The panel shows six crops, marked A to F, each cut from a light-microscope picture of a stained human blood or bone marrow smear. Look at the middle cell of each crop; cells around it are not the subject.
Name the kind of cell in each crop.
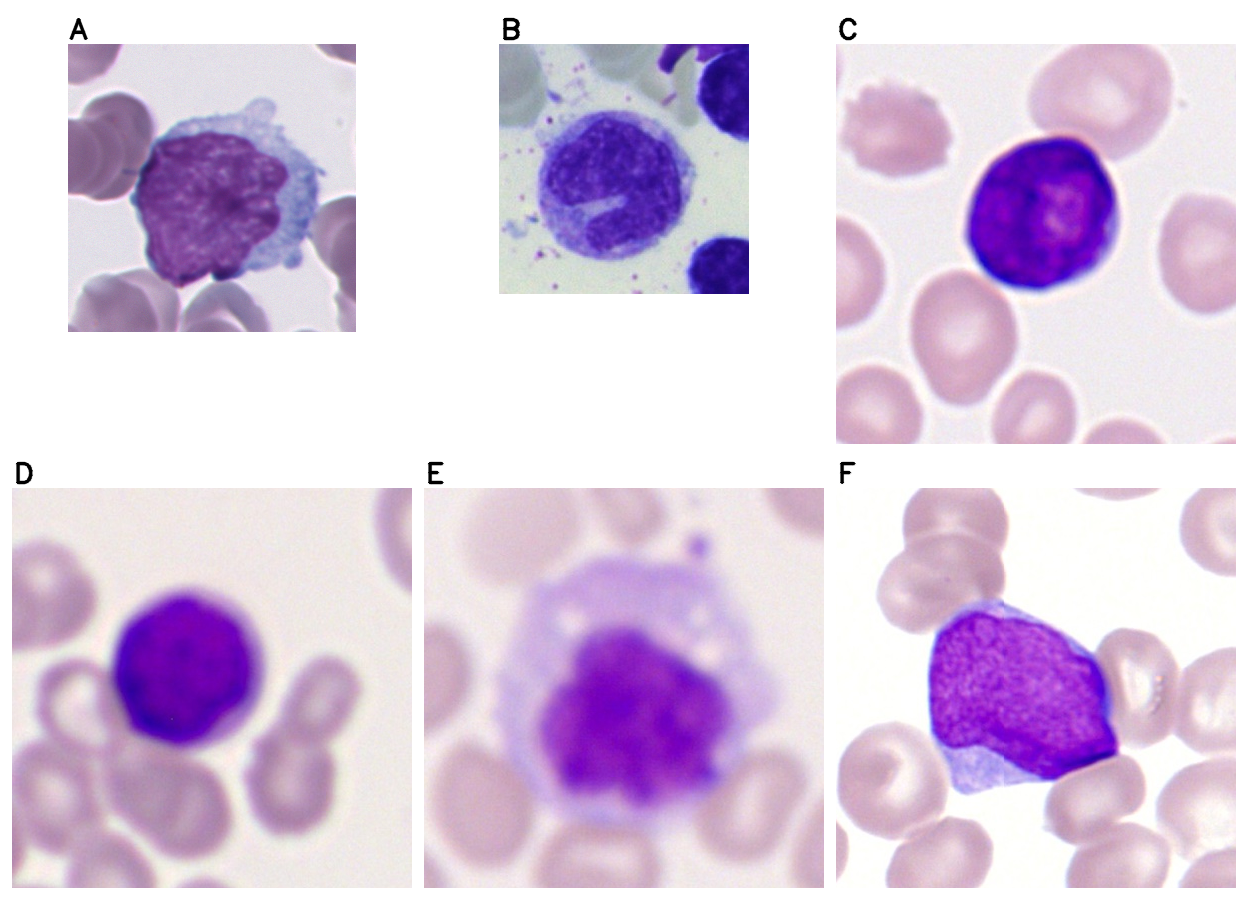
A: blast
B: monocyte
C: blast
D: blast
E: monocyte
F: blast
